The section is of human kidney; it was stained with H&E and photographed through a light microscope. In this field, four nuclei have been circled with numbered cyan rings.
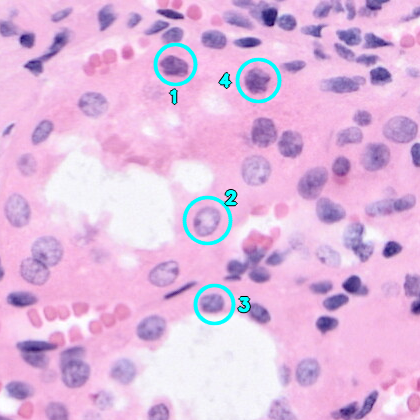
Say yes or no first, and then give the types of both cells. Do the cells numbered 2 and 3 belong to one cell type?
No, cell 2 is a proximal tubule cell and cell 3 is a loop of Henle or distal tubule cell.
